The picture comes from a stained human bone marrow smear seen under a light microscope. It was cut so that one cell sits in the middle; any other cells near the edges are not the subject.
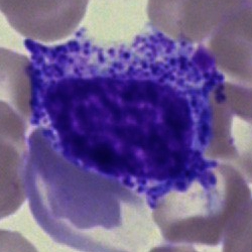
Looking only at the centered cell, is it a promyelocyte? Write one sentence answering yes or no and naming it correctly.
Yes, it is a promyelocyte that lies in the middle.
